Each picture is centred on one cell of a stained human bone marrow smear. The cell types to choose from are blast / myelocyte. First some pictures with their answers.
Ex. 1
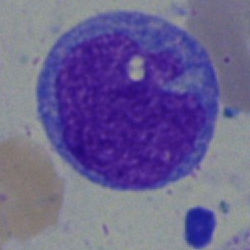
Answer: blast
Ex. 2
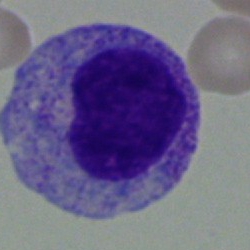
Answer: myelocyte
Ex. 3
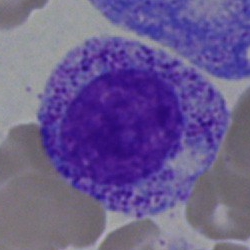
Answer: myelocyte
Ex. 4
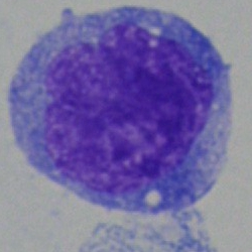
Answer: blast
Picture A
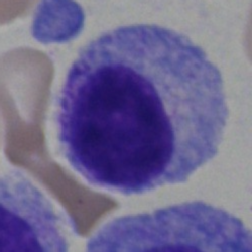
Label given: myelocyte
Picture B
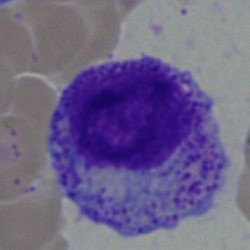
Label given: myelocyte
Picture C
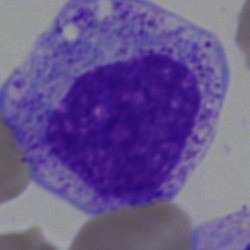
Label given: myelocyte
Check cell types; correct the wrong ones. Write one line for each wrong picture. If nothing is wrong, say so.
No label is wrong.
